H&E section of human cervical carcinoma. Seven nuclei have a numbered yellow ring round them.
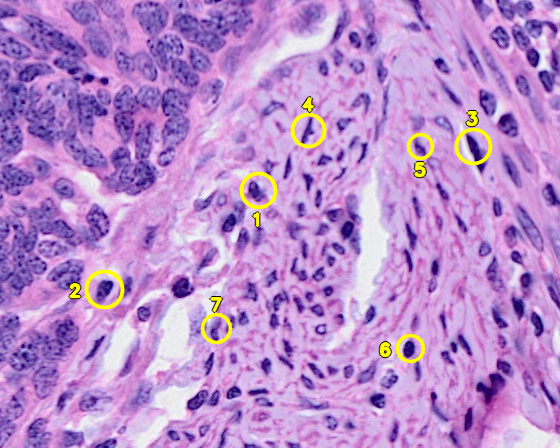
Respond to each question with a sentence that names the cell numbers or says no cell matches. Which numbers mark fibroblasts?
The numbered cell that is a fibroblast is cell 7, and it is the only one.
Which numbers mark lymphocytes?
The cells that have numbers 1, 2, 3 and 6 are lymphocytes.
